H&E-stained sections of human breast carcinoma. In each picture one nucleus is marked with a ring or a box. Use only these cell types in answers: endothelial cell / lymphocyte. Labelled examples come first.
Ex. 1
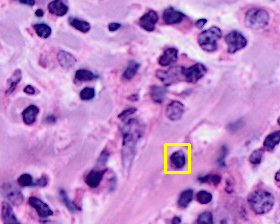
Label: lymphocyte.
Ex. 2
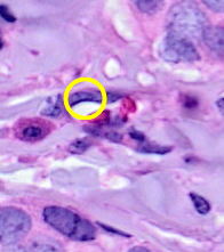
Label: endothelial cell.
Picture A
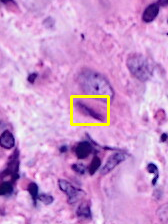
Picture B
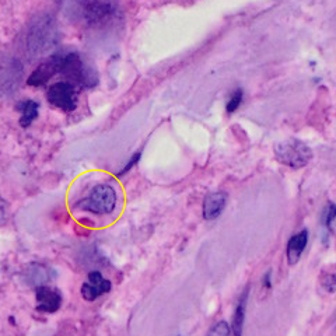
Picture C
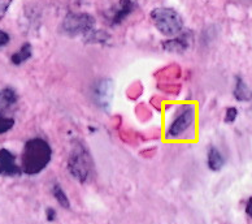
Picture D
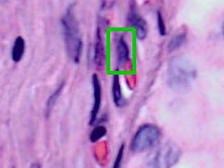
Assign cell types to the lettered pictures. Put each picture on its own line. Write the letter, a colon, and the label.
A: endothelial cell.
B: endothelial cell.
C: endothelial cell.
D: endothelial cell.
